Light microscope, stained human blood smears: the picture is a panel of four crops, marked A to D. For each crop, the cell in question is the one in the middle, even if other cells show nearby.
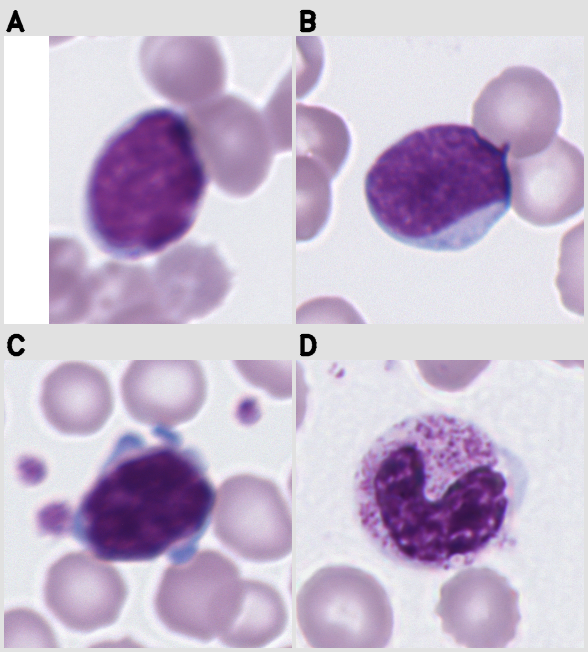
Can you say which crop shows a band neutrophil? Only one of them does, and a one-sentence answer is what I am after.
Here the crop that shows a band neutrophil is crop D.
